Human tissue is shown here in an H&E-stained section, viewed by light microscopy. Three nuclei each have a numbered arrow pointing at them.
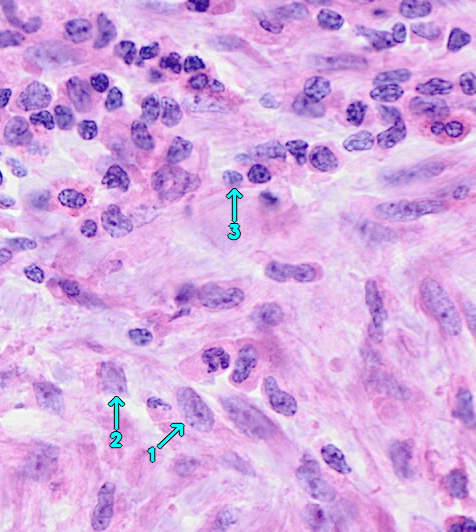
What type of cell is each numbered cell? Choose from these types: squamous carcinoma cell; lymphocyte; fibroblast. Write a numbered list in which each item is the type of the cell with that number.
1. fibroblast
2. fibroblast
3. lymphocyte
